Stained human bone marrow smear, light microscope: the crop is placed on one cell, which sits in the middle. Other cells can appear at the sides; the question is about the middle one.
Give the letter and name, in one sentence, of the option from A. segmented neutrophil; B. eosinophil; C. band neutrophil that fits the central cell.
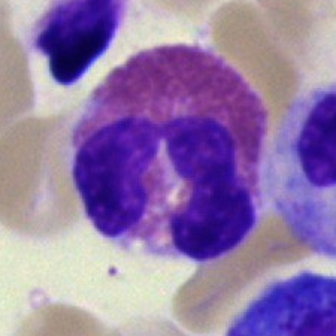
The cell in the middle is an eosinophil, and so option B is correct.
